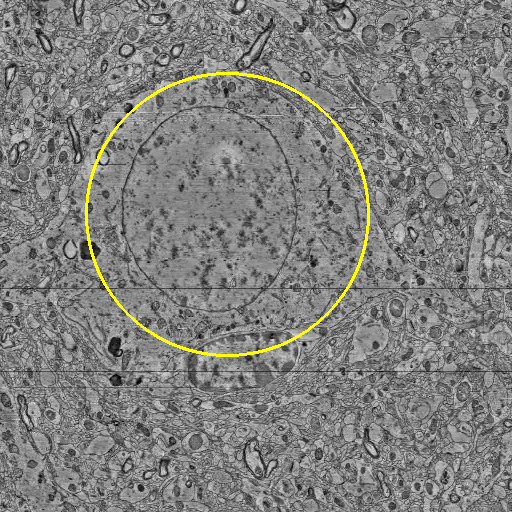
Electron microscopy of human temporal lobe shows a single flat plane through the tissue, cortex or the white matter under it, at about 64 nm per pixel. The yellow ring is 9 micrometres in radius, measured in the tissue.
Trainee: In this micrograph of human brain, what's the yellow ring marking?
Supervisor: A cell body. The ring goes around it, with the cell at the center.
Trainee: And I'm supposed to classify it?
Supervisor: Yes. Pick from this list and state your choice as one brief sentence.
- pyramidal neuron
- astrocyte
The cell at the ring's center is a pyramidal neuron.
